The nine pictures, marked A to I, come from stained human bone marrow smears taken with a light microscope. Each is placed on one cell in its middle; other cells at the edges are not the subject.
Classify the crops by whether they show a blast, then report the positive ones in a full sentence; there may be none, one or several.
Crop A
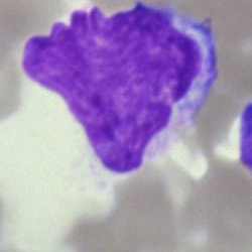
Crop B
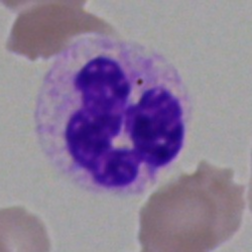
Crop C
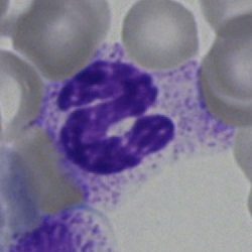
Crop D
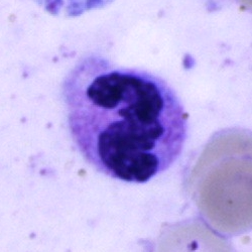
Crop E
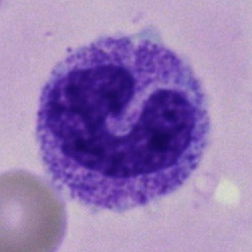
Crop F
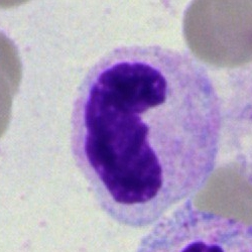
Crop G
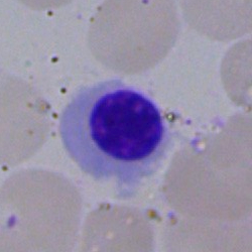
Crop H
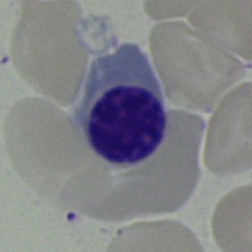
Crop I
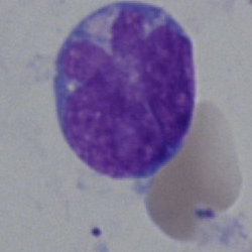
On review, crops A and I show blasts.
